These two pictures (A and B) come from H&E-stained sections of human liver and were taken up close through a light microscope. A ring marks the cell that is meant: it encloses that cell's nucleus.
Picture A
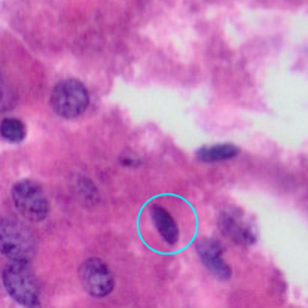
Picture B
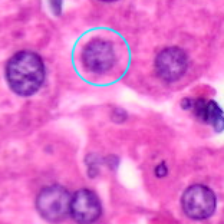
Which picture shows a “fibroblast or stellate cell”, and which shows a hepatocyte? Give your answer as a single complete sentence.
Picture A shows a “fibroblast or stellate cell” and picture B shows a hepatocyte.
